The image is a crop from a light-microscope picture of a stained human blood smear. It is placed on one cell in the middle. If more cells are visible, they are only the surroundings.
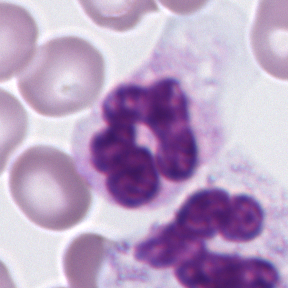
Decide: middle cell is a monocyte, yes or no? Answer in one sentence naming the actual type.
No, the centrally placed cell is a segmented neutrophil, not a monocyte.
